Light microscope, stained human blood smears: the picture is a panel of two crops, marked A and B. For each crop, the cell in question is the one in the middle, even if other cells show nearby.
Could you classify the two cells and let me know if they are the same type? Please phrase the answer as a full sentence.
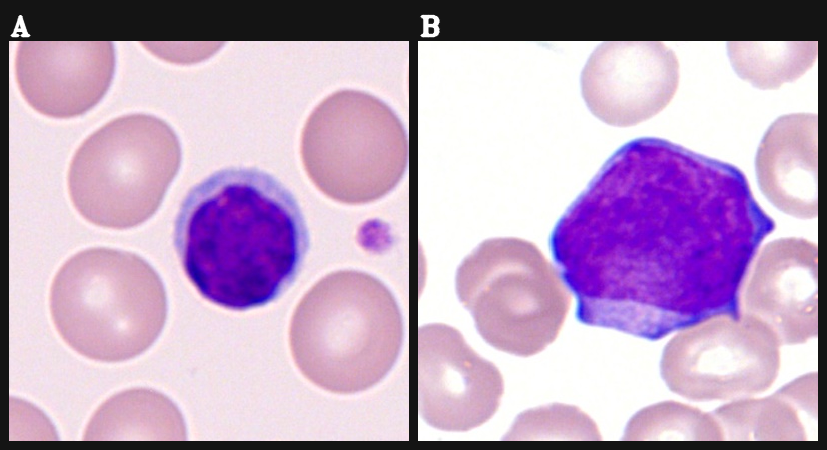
No, crop A shows a lymphocyte, whereas a blast is what crop B shows.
